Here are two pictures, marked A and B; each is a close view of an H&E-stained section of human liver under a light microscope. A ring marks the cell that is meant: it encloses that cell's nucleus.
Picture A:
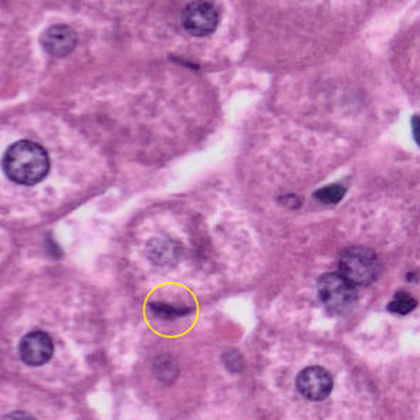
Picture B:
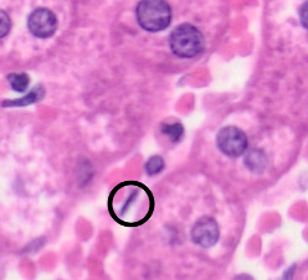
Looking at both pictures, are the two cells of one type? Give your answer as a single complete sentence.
No. Picture A shows a “fibroblast or stellate cell”, but picture B shows an endothelial cell.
